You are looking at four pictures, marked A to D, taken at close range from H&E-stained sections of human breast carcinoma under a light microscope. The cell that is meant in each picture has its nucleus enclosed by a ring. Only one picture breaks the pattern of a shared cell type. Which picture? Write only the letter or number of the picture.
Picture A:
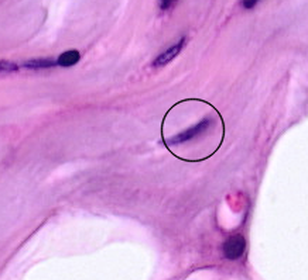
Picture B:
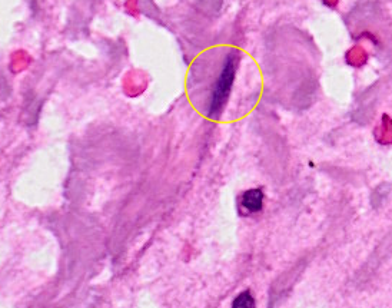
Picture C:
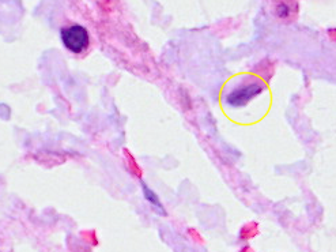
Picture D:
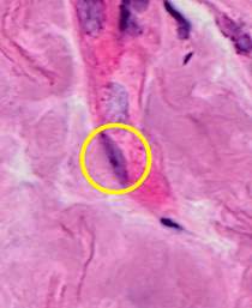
D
